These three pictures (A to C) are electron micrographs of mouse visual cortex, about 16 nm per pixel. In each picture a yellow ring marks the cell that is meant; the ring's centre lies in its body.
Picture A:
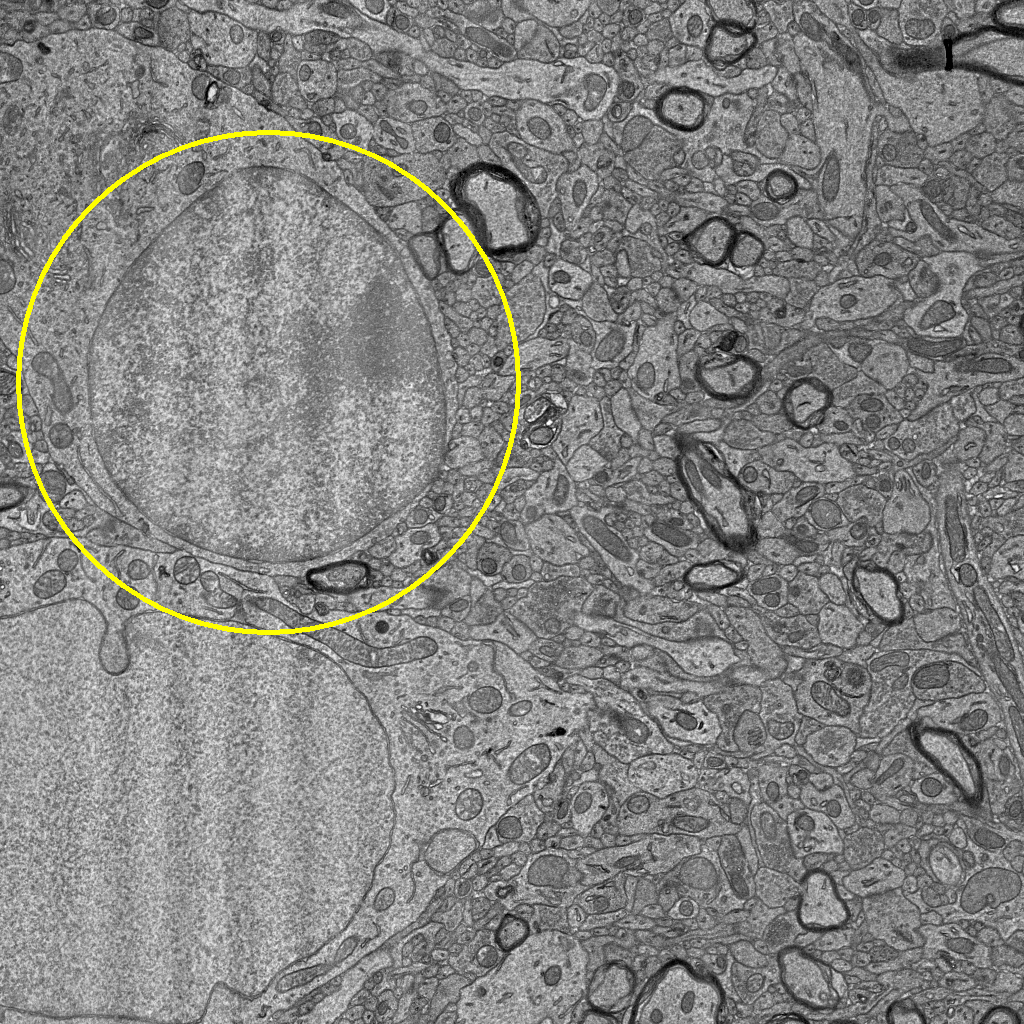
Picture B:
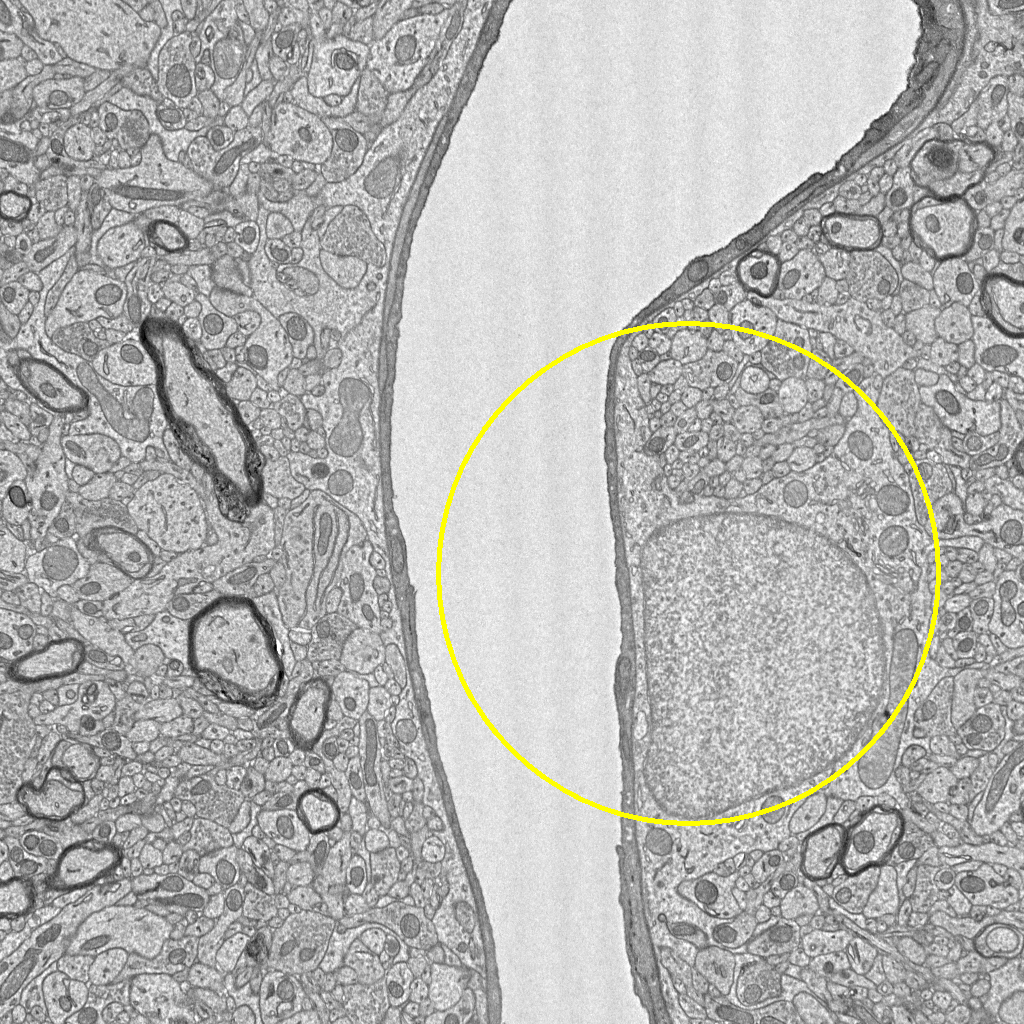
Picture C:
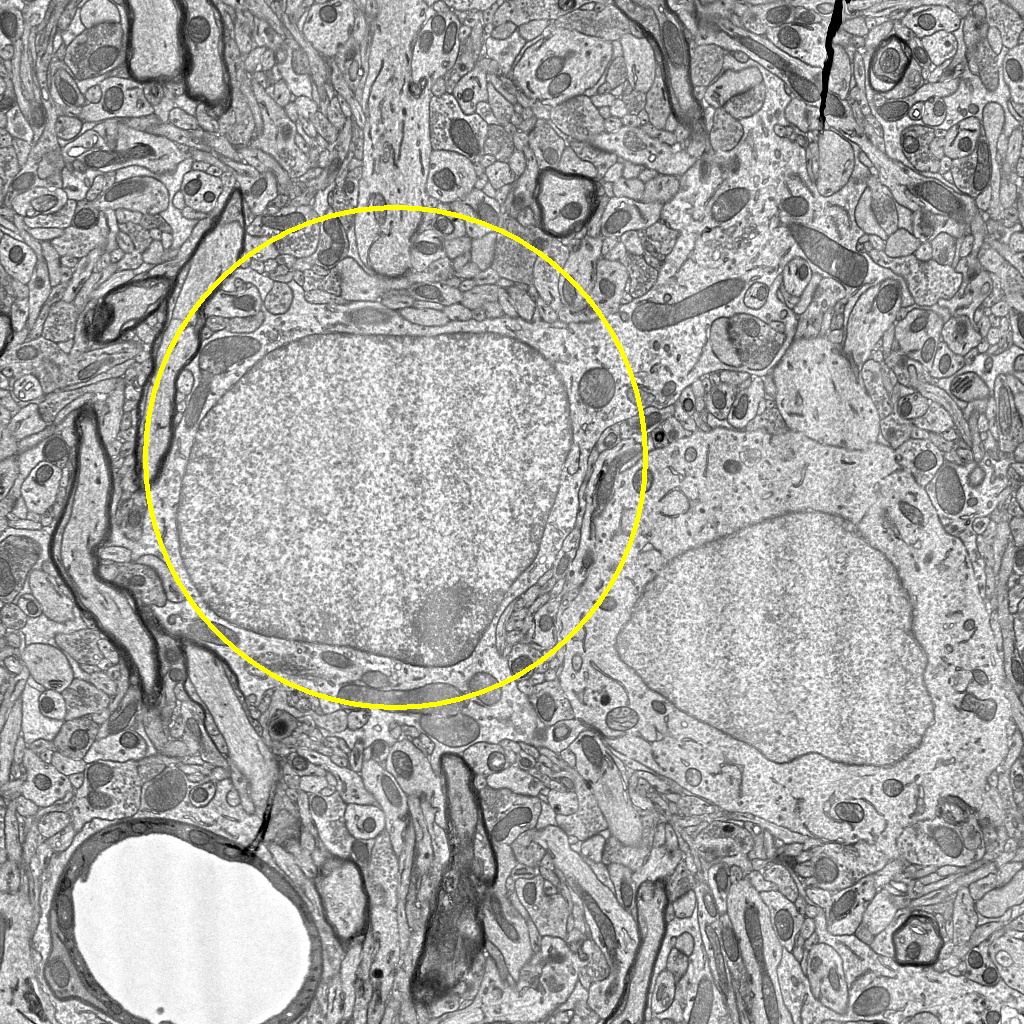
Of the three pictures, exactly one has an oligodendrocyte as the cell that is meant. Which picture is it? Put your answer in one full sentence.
The cell in picture A is the oligodendrocyte.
